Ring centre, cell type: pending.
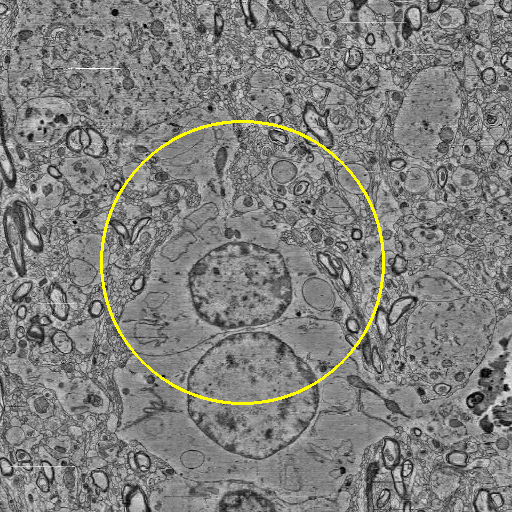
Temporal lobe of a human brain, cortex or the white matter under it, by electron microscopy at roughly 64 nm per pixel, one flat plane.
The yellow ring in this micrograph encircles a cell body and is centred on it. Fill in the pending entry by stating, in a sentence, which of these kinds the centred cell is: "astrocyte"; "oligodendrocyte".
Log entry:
The centred cell is recorded as an astrocyte.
